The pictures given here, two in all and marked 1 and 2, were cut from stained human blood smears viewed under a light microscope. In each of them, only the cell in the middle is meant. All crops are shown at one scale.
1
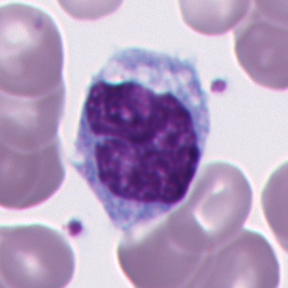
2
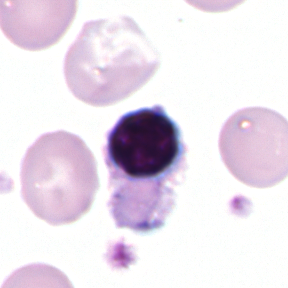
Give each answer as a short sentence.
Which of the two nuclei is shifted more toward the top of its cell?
Seen within its cell, the nucleus in picture 2 lies further toward the top.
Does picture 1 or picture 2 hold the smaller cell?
Smaller is the cell in picture 2, and the other is about 2.5 times as large in area.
